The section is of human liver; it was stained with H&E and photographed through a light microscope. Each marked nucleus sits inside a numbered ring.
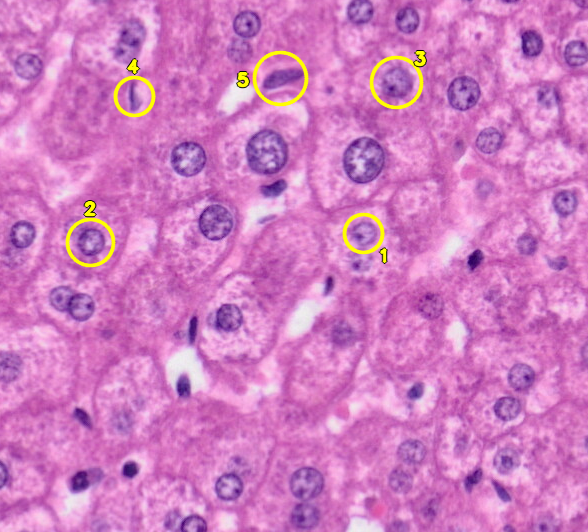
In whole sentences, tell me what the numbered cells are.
Cell 1 is a hepatocyte, cell 2 is a hepatocyte, cell 3 is a hepatocyte, cell 4 is an endothelial cell and cell 5 is a Kupffer cell.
